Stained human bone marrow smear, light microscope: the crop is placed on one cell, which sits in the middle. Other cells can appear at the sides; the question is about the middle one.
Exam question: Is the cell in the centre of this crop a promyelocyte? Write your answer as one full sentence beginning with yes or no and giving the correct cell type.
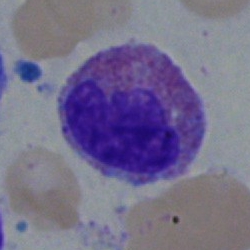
No, the cell at the centre is identified as an eosinophil, not as a promyelocyte.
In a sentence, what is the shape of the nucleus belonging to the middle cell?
Its nucleus is compact and single, with a round, oval or kidney-shaped form.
